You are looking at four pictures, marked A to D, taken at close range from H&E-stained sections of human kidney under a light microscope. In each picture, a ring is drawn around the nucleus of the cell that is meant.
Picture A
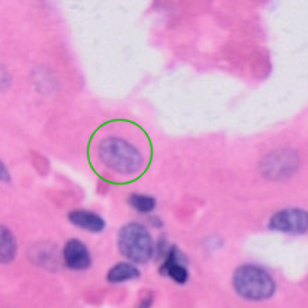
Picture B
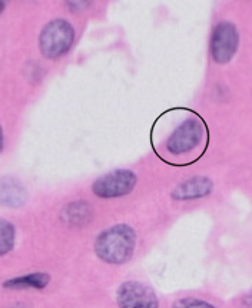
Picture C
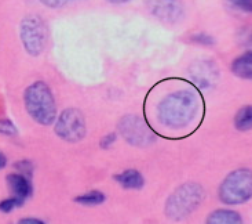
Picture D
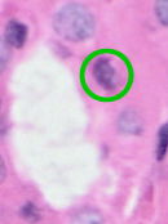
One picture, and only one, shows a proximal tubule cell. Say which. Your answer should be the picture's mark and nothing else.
A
